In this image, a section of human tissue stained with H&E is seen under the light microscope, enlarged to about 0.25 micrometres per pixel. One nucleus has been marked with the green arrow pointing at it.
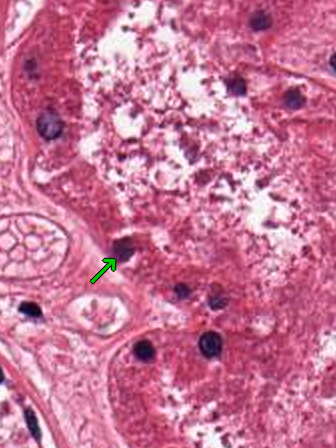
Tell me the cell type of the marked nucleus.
proximal tubule cell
